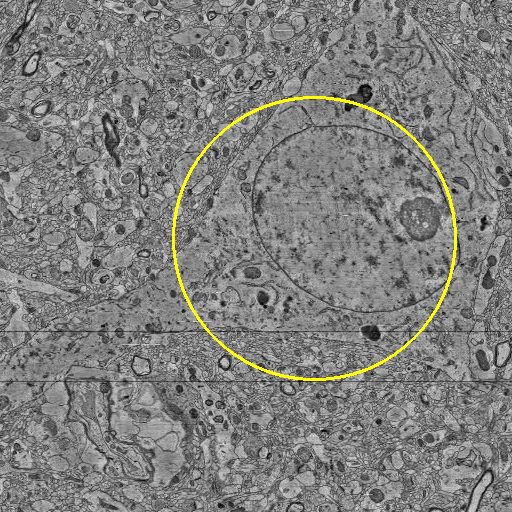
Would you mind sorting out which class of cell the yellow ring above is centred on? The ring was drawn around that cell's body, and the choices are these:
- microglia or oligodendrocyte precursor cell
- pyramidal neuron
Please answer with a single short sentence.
This is the cell body of a pyramidal neuron.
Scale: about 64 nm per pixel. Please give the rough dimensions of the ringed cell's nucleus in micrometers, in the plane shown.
In this plane the nucleus spans approximately 14 by 12 micrometers.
